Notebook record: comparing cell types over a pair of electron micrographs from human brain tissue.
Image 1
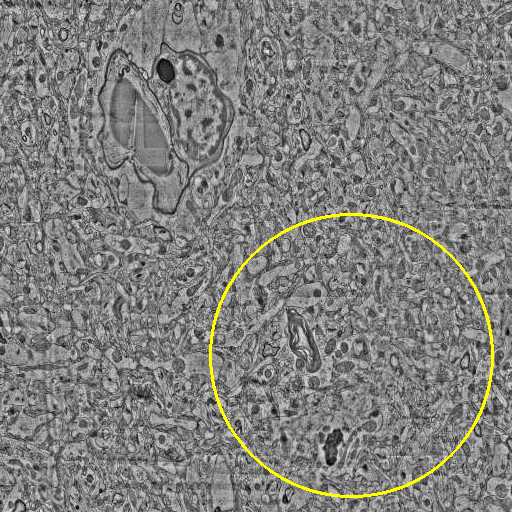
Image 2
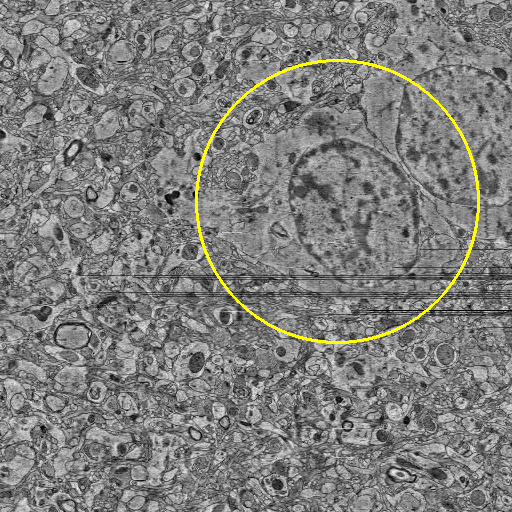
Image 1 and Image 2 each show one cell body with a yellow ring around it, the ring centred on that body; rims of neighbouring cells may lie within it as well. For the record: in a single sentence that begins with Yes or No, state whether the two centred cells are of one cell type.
Yes, one cell type is shared by the centred cells of Image 1 and Image 2.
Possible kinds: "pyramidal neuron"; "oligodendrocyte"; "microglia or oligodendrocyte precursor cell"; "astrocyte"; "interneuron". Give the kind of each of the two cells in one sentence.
In each picture the ringed cell is an astrocyte.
